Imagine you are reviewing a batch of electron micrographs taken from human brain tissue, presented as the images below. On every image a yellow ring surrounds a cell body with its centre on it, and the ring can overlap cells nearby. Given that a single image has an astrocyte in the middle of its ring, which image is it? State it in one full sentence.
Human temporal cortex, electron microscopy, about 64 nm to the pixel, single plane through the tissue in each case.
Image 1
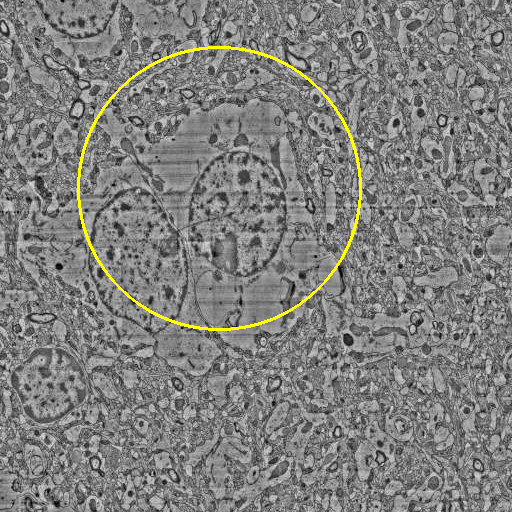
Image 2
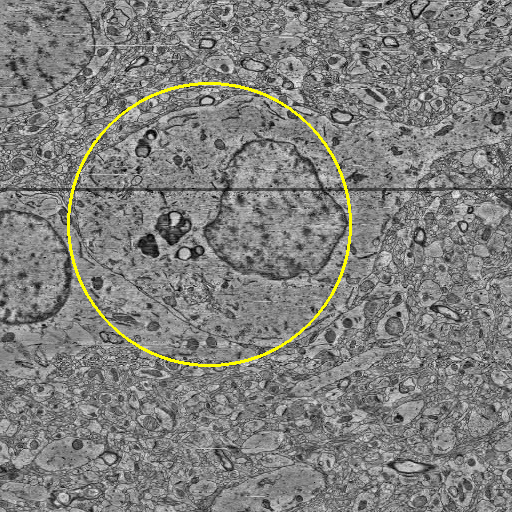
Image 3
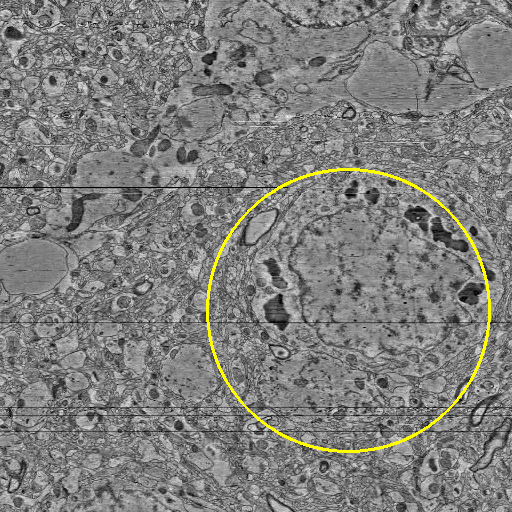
Of all the images, number 1 has the described cell at the centre of its ring.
